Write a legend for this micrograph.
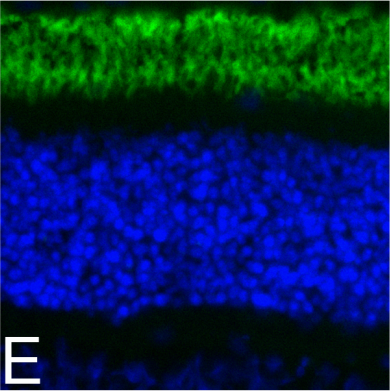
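A section of the outer retina with photoreceptors arranged in layers. At the top a bright green band of fine vertical striations marks the photoreceptor outer segments, separated by a darker unlabelled inner segment band from a thick outer nuclear layer of densely packed small round blue nuclei. At the bottom a thin dark band borders the start of a sparser nuclear layer.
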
